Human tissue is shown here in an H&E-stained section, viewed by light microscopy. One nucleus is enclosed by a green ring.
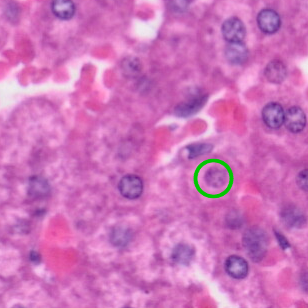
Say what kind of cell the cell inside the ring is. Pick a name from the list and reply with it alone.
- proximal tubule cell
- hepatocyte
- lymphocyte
hepatocyte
